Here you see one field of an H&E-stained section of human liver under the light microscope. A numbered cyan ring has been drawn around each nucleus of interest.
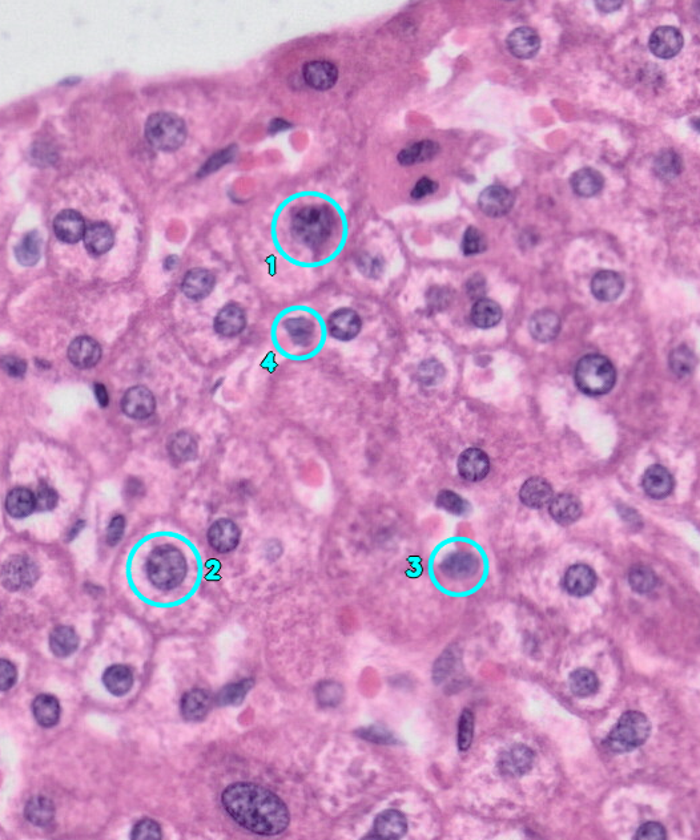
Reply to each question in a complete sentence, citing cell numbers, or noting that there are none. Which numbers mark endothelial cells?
Each of the cells numbered 3 and 4 is among the endothelial cells.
